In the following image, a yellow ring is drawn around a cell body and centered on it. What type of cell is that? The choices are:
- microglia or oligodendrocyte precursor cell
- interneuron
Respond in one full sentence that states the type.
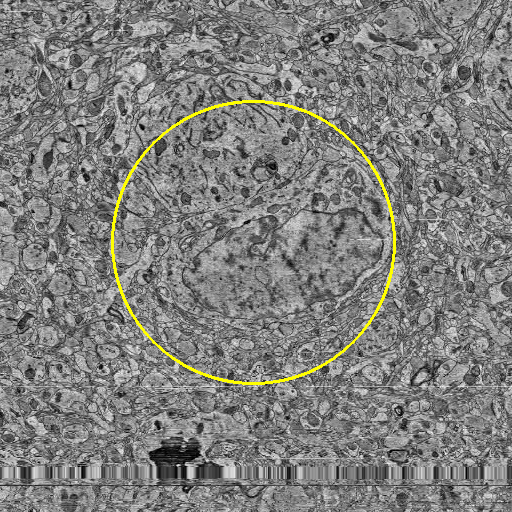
The cell at the center of the yellow ring in the image is an interneuron.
